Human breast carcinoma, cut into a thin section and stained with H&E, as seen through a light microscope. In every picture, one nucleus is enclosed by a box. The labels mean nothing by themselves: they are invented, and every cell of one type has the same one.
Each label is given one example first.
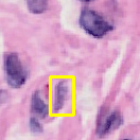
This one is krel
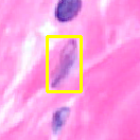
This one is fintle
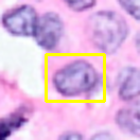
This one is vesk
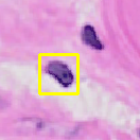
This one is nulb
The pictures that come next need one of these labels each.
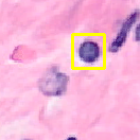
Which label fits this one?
nulb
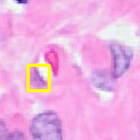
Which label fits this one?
krel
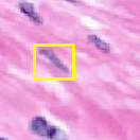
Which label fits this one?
fintle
